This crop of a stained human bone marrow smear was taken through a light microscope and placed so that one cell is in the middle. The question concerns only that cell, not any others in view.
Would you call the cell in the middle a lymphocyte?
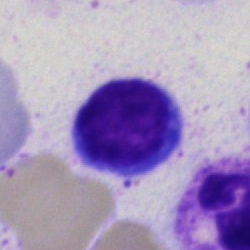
yes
